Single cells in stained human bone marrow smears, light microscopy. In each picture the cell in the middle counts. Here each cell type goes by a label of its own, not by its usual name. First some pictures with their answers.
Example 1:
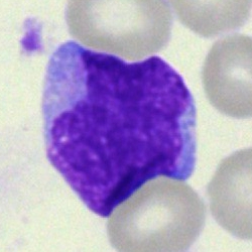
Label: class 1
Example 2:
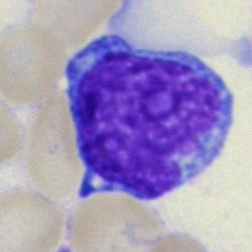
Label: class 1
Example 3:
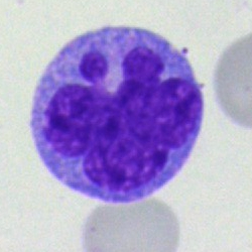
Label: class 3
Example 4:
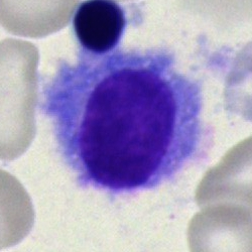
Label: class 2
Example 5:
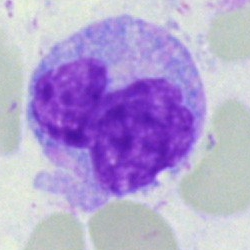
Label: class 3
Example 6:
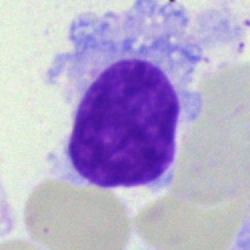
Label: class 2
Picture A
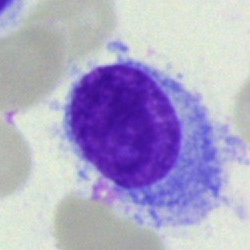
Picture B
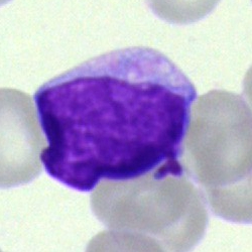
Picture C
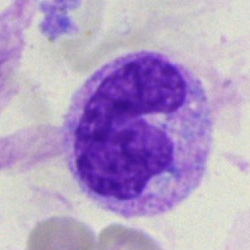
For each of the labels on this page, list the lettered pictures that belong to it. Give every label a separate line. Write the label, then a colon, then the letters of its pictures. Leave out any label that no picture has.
class 1: B
class 3: C
class 2: A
